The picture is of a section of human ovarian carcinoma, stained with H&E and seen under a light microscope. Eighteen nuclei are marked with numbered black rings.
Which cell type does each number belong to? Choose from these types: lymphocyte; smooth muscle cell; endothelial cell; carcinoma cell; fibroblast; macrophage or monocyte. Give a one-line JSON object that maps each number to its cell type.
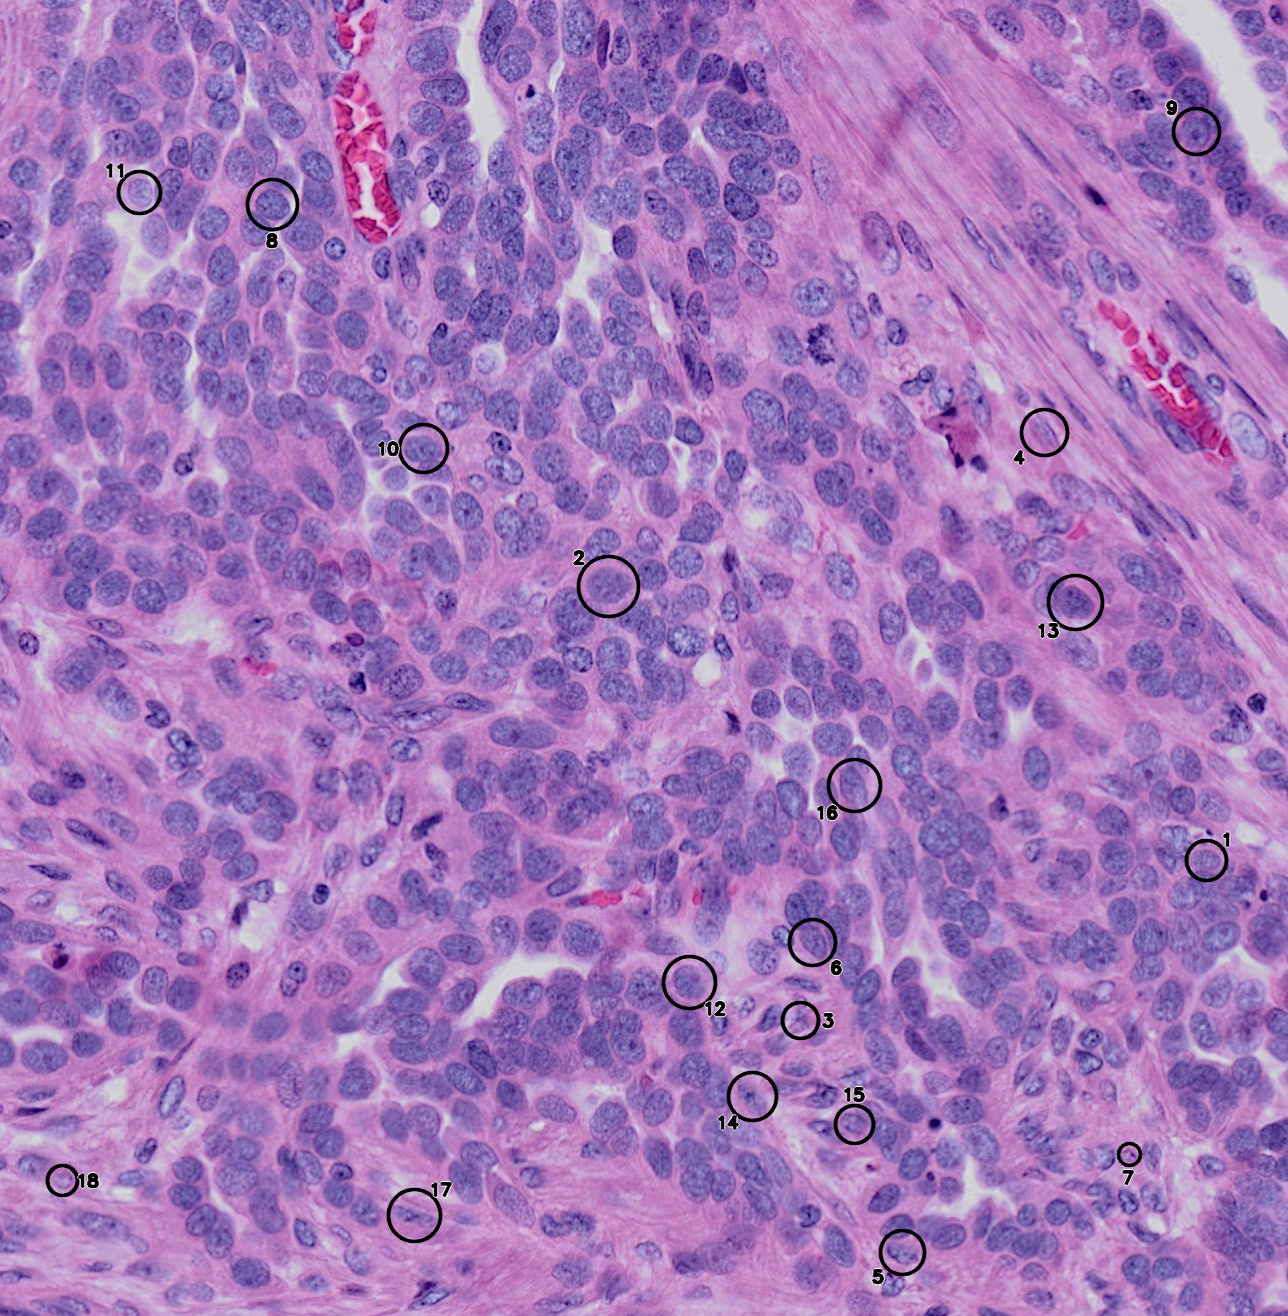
{"1": "carcinoma cell", "2": "carcinoma cell", "3": "fibroblast", "4": "fibroblast", "5": "fibroblast", "6": "carcinoma cell", "7": "fibroblast", "8": "carcinoma cell", "9": "carcinoma cell", "10": "carcinoma cell", "11": "carcinoma cell", "12": "carcinoma cell", "13": "carcinoma cell", "14": "fibroblast", "15": "fibroblast", "16": "carcinoma cell", "17": "fibroblast", "18": "fibroblast"}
